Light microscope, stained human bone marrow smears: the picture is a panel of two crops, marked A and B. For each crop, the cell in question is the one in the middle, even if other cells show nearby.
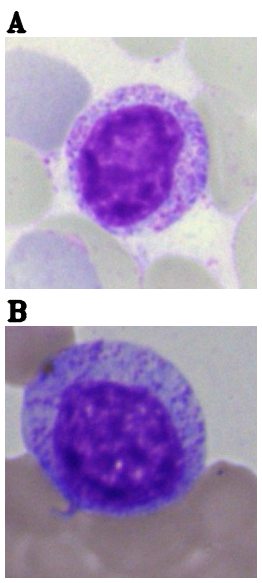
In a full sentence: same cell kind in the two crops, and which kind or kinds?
Yes, both crops are centred on myelocytes.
